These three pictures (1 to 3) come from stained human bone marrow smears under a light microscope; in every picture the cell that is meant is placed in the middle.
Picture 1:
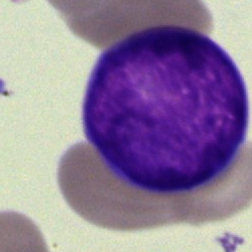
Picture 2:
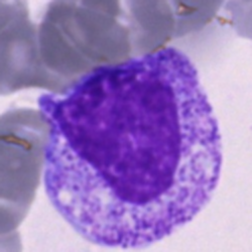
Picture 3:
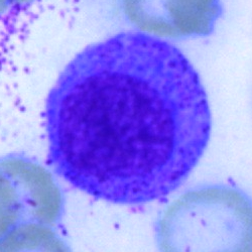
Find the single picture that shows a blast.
1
